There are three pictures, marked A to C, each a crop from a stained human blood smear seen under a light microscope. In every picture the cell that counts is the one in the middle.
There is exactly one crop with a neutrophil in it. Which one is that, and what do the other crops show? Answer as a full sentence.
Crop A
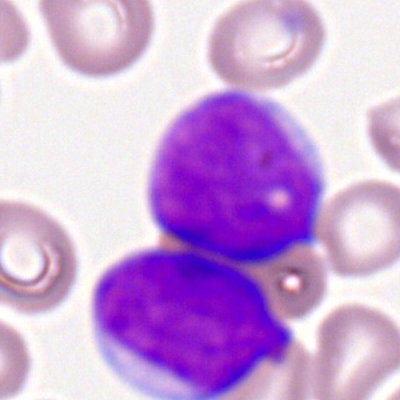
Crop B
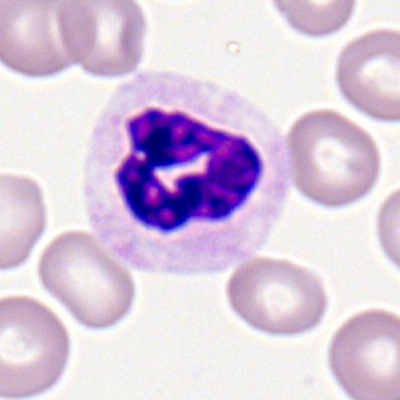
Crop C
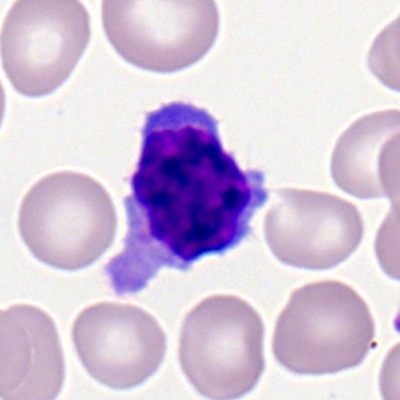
In this group, crop B shows a neutrophil, while crop A is a blast and crop C is a lymphocyte.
